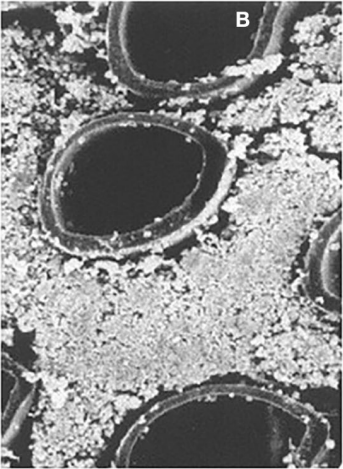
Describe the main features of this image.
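This scanning electron micrograph shows hollow fibers cut across, with cells grown on their outer surface. Several round to oval tubes are seen in section. The spaces between the tubes are filled by a bright, granular mass of rounded cell bodies and clumps. This mass covers the outer faces of the fiber walls and bridges the gaps between neighbouring fibers. The lumens themselves look largely clear at this magnification. No individual cell detail is resolved beyond rounded bodies and aggregates.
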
